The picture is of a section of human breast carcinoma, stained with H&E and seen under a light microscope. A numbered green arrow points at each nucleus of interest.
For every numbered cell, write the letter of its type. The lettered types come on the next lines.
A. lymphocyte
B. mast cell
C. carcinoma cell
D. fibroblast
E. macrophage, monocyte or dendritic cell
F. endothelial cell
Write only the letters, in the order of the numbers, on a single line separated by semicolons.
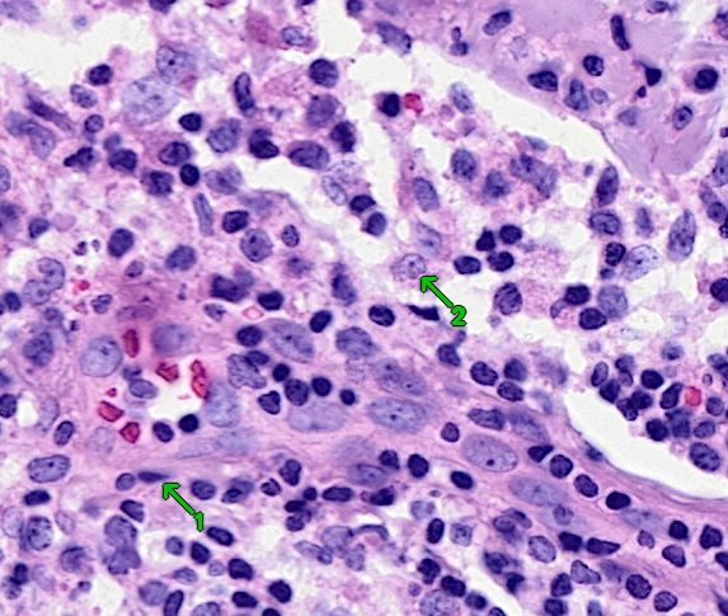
A; E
